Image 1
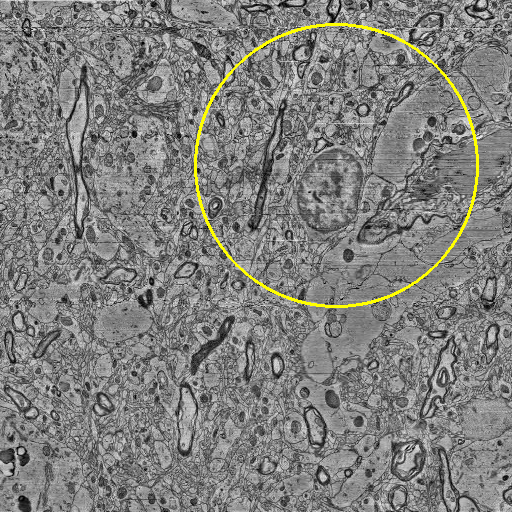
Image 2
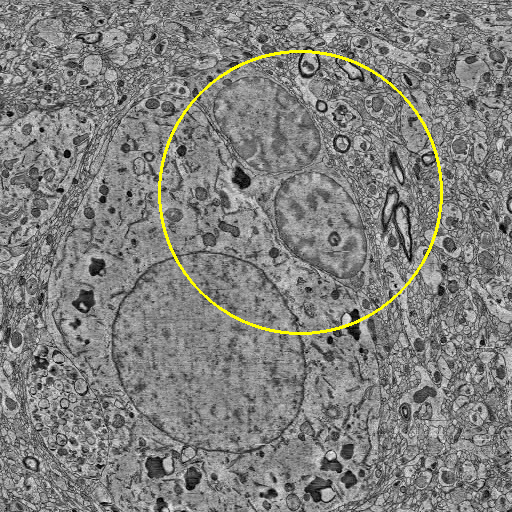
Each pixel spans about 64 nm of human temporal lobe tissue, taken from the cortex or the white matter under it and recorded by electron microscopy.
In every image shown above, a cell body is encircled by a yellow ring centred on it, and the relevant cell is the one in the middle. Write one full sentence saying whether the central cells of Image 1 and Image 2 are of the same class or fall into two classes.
The cell at the ring's centre in Image 1 and its counterpart in Image 2 are of the same class.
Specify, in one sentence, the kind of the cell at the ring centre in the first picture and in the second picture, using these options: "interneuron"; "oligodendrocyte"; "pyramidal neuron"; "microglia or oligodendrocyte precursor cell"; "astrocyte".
Each of the two rings surrounds an oligodendrocyte.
